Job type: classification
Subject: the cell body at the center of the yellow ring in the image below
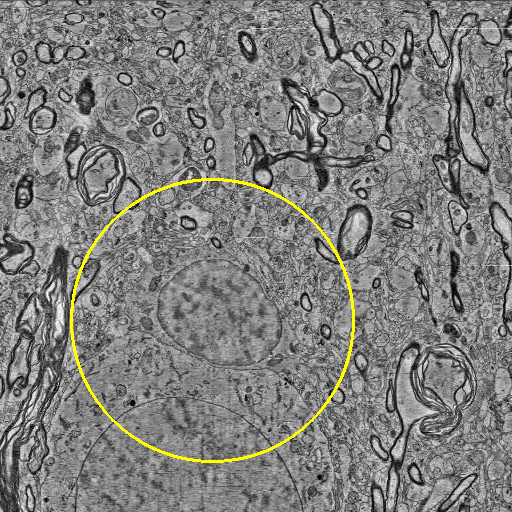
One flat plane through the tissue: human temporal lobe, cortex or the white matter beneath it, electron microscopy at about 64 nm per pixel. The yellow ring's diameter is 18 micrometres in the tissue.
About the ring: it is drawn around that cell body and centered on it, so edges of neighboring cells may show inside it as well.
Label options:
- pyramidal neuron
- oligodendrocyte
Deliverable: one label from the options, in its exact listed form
oligodendrocyte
